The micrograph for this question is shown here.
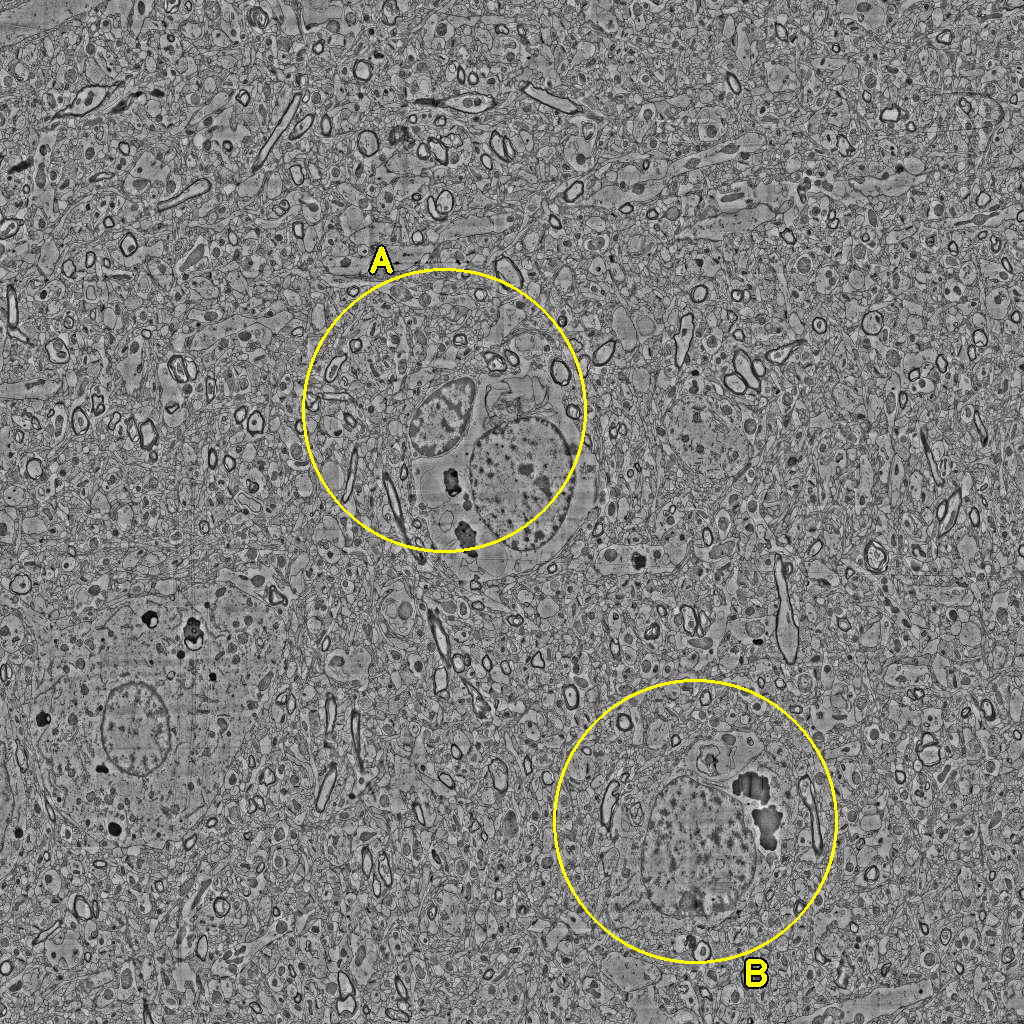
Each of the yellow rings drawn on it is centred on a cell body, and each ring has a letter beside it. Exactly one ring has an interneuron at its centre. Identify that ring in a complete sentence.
The ring centred on it is ring B.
